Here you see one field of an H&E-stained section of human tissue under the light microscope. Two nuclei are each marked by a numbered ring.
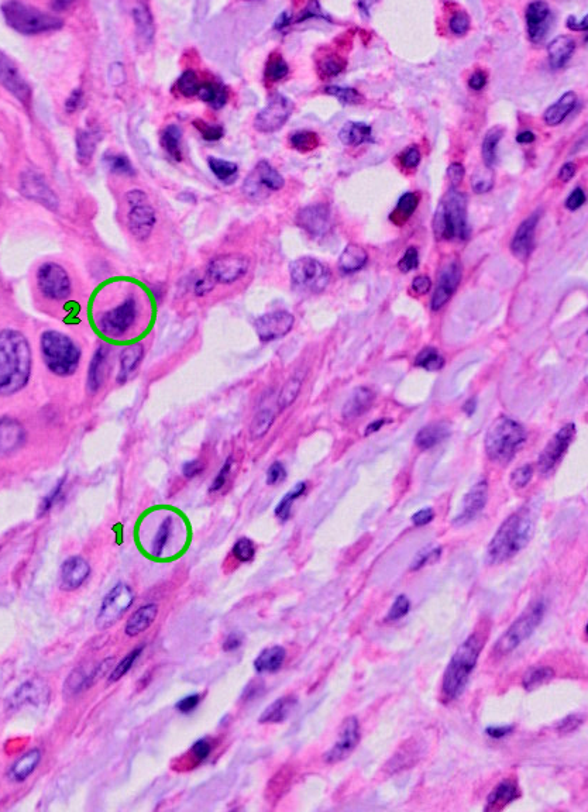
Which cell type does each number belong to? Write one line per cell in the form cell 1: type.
cell 1: fibroblast
cell 2: squamous carcinoma cell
